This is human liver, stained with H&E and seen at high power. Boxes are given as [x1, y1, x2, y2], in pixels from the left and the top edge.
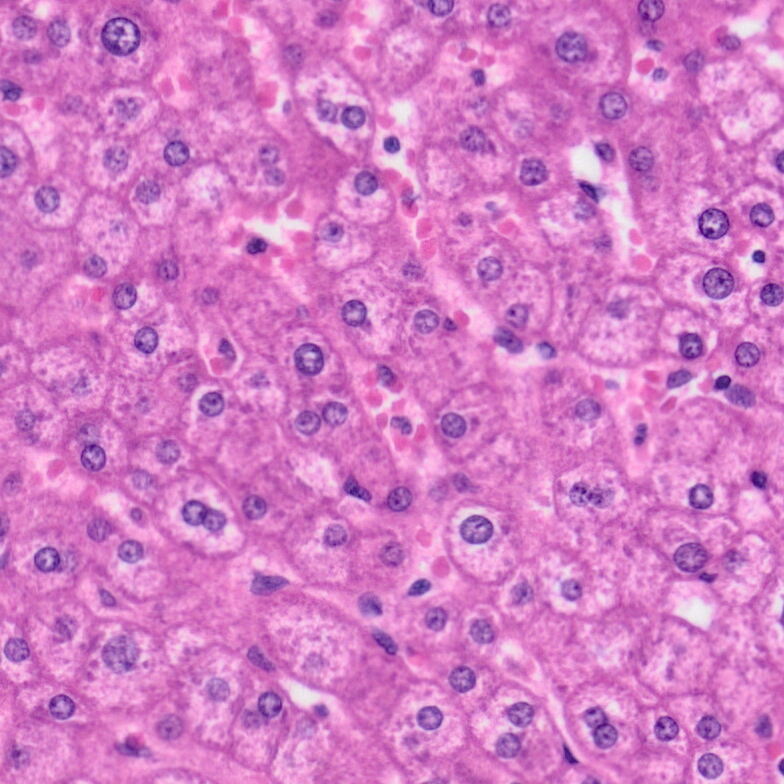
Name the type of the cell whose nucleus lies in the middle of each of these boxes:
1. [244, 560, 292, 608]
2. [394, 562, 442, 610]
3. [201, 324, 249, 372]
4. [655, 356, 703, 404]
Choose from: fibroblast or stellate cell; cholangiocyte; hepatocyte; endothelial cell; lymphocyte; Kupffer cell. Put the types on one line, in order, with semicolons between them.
Kupffer cell; lymphocyte; Kupffer cell; Kupffer cell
